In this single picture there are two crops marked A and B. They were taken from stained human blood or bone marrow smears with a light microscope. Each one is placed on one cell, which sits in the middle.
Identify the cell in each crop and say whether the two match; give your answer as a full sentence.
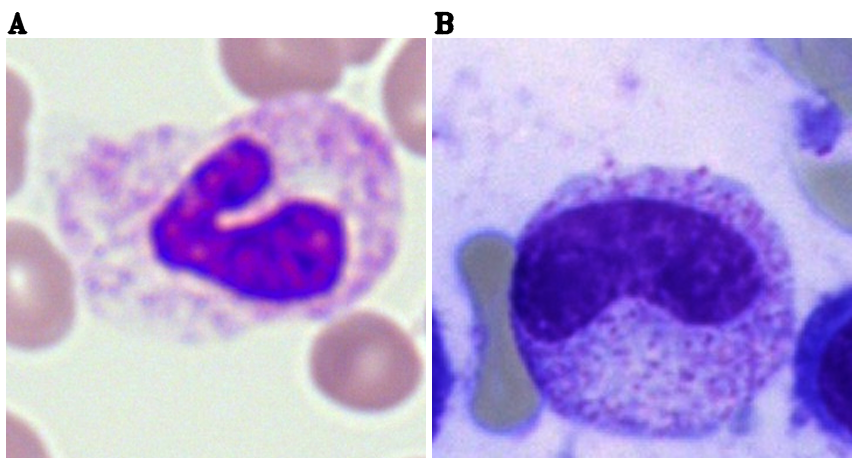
Yes, it is band neutrophils that occupy the middle of both crops.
